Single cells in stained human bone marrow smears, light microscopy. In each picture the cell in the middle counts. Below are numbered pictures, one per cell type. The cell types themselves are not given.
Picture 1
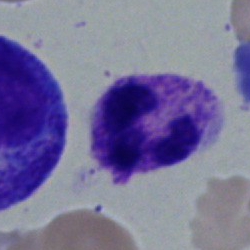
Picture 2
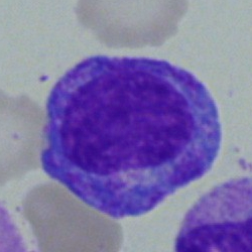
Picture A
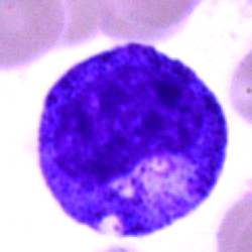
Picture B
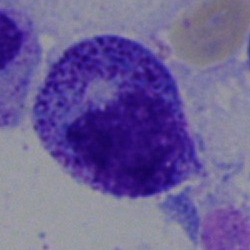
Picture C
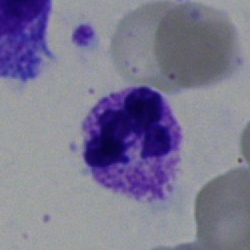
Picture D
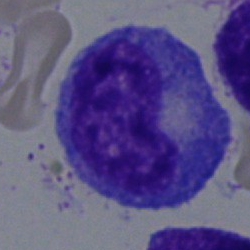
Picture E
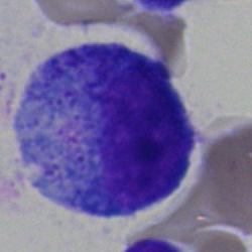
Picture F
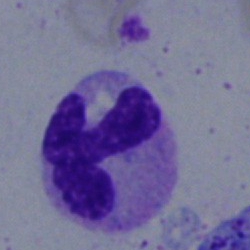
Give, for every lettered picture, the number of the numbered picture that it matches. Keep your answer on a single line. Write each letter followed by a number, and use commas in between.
A 2, B 2, C 1, D 2, E 2, F 1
